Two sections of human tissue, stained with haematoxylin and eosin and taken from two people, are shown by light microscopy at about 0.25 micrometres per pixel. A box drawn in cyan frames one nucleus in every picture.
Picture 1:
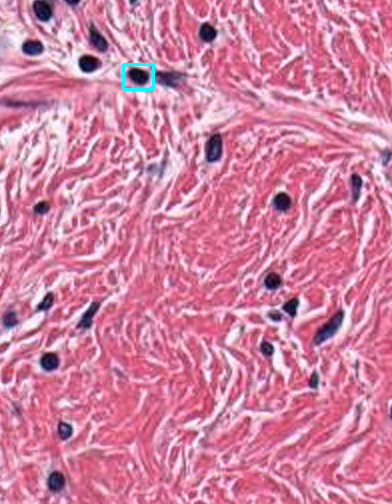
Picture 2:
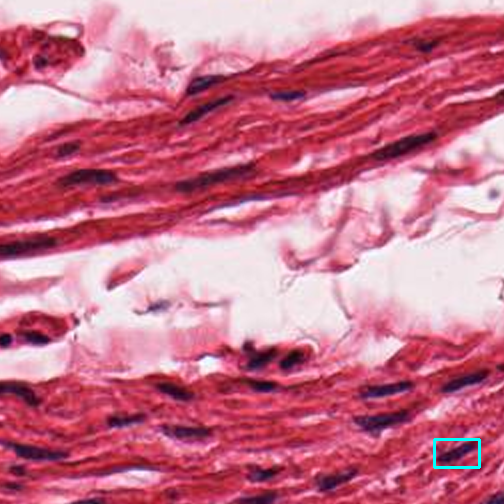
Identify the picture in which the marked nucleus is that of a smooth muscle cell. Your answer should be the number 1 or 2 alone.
2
